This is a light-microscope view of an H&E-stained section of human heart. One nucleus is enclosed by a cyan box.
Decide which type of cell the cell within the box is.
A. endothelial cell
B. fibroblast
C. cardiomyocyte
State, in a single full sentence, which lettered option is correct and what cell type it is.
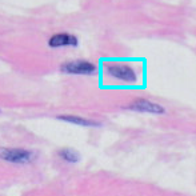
The correct identification, the cell within the box as a fibroblast, is given by option B.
